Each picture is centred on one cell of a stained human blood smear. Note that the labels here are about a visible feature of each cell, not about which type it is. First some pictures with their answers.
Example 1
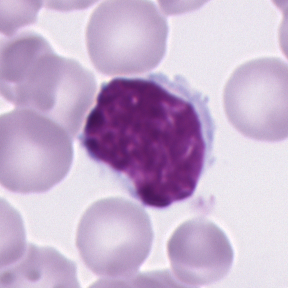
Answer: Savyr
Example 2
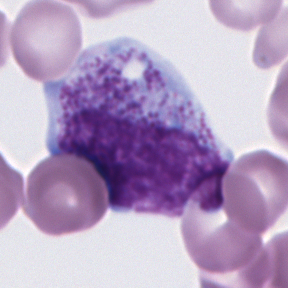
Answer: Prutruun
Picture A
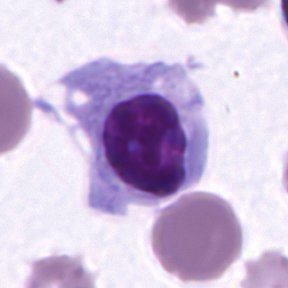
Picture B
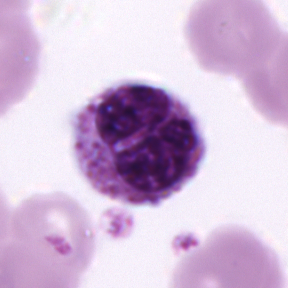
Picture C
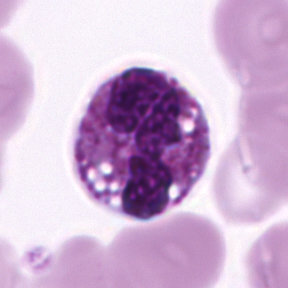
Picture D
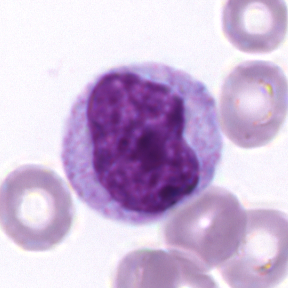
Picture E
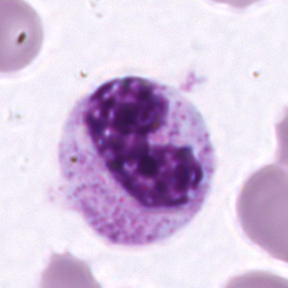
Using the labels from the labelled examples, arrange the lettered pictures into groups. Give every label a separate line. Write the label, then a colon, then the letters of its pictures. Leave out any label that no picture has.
Savyr: B, D, E
Prutruun: A, C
